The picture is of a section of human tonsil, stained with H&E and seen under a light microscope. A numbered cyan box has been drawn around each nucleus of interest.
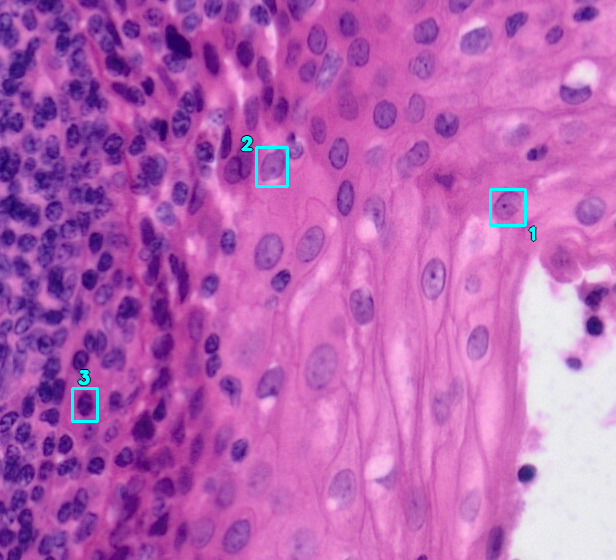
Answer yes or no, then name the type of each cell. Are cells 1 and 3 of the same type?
No, that is not right: cell 1 is a squamous epithelial cell and cell 3 is a plasma cell.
